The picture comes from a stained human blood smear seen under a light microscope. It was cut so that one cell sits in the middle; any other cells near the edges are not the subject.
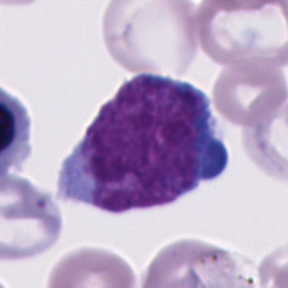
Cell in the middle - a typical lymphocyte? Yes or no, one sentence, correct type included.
No, the central cell is not to be called a typical lymphocyte, being a myeloblast.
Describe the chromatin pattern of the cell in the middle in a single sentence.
The chromatin is fine throughout, without coarse clumps.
